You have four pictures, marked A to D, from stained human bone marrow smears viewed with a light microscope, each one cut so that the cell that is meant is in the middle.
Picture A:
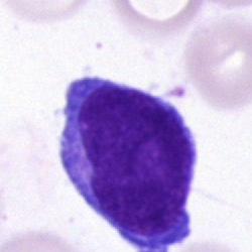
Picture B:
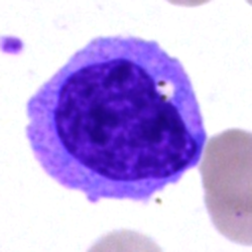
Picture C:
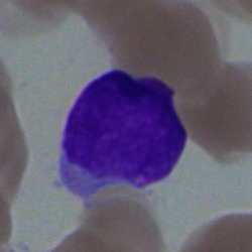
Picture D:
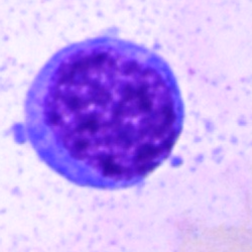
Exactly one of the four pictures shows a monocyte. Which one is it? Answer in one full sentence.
The picture with the monocyte is B.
